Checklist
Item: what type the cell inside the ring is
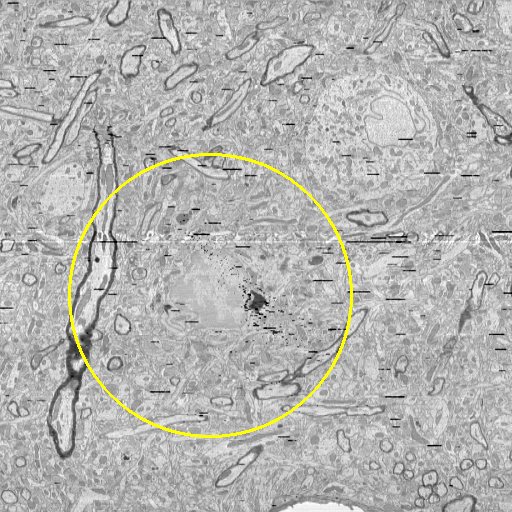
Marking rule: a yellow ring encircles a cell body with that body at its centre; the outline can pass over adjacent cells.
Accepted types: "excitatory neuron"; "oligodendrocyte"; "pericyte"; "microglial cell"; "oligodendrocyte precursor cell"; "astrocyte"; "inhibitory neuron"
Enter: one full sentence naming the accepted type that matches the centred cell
The entry is that a microglial cell lies at the centre of the yellow ring.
